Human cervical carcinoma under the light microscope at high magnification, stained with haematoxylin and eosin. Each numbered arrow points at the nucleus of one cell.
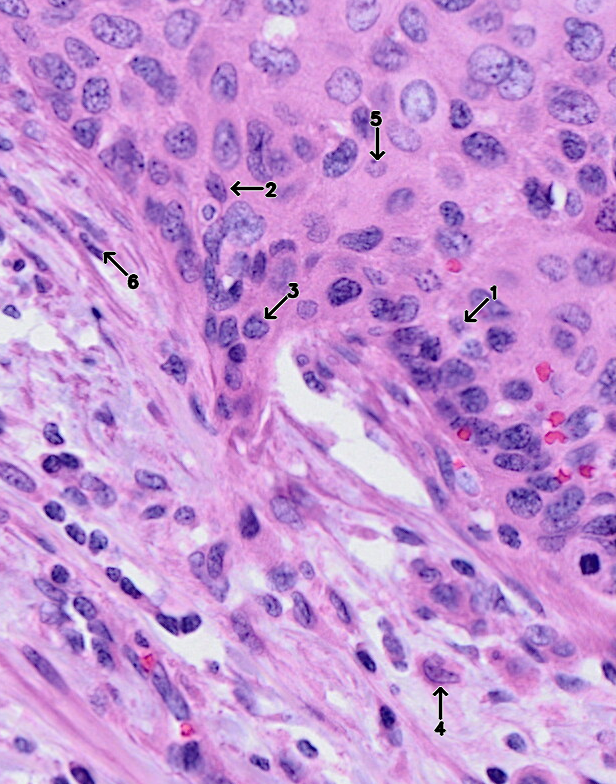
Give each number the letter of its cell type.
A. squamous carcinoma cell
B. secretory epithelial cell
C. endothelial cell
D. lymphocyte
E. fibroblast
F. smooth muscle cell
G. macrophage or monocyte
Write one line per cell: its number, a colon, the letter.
1: A
2: A
3: A
4: G
5: A
6: E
